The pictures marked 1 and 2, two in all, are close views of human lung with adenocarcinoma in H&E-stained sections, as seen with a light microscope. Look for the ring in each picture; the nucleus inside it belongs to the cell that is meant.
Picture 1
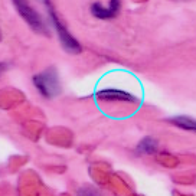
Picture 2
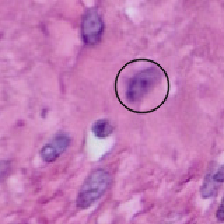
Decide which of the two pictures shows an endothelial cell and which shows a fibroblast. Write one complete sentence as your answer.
Picture 1 shows an endothelial cell and picture 2 shows a fibroblast.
